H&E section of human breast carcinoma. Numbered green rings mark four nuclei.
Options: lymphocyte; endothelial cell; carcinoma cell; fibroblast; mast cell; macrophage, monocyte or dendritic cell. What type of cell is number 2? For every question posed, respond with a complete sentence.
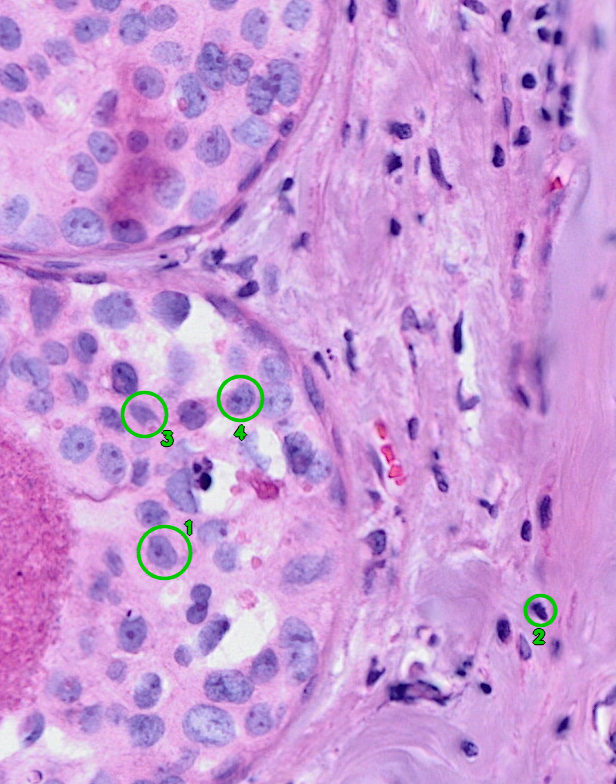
The mark numbered 2 indicates the nucleus of a lymphocyte.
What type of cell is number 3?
The cell pointed out as number 3 is a carcinoma cell.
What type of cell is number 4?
Here, the cell given the number 4 is a carcinoma cell.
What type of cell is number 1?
That cell with number 1 is a carcinoma cell.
